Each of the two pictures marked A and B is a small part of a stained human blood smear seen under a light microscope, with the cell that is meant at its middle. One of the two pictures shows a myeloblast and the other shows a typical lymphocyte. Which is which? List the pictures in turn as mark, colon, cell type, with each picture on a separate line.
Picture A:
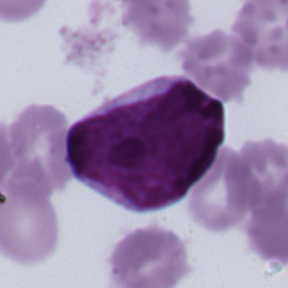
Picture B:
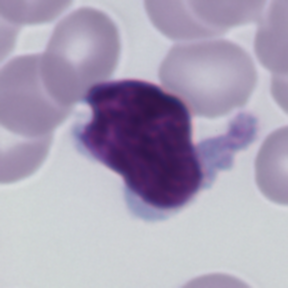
A: myeloblast
B: typical lymphocyte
